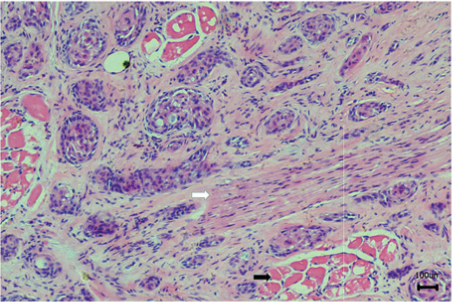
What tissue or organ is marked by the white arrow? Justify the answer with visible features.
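The arrow points to a long band of paler, wavy fibers with slender nuclei crossing the field.
Hence: nerve.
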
